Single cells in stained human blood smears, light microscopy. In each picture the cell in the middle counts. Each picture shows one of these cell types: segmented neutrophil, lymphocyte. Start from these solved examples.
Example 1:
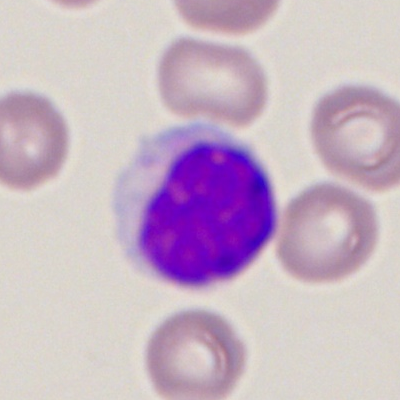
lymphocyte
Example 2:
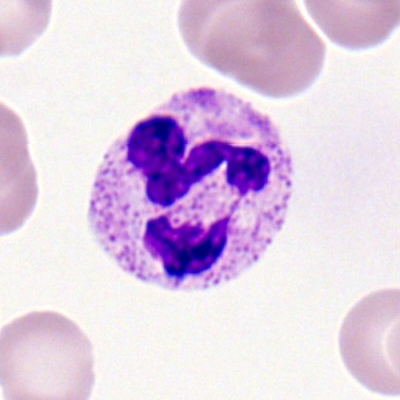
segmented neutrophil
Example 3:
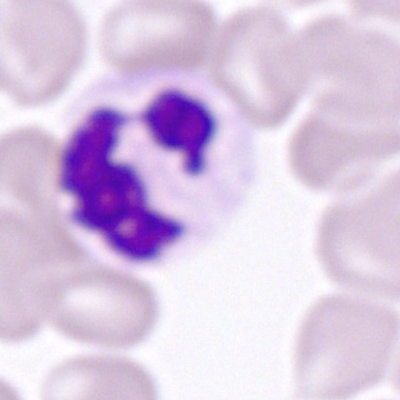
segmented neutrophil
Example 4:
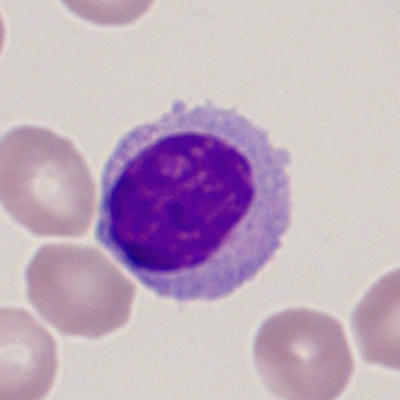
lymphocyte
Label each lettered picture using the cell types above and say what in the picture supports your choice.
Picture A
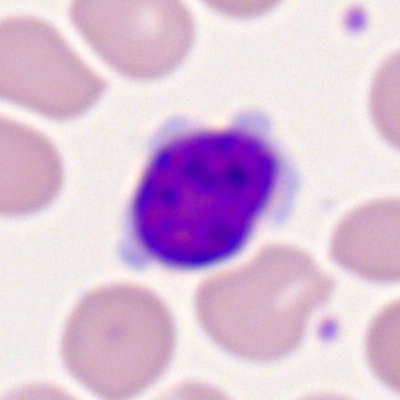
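lymphocyte. The nucleus fills almost the whole cell, leaving only a scant rim of cytoplasm.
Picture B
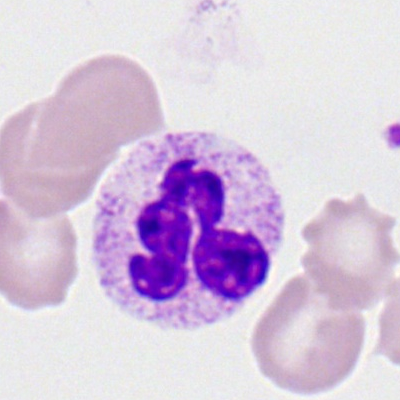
segmented neutrophil. The nucleus is divided into three lobes.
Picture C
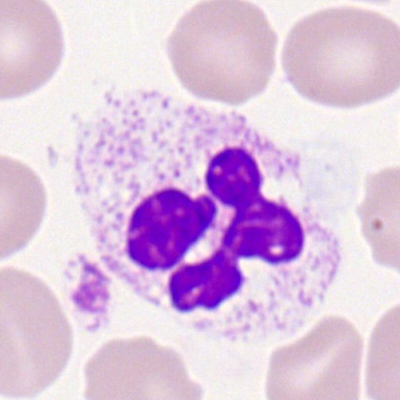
segmented neutrophil. The cytoplasm is abundant and pale pinkish-lilac.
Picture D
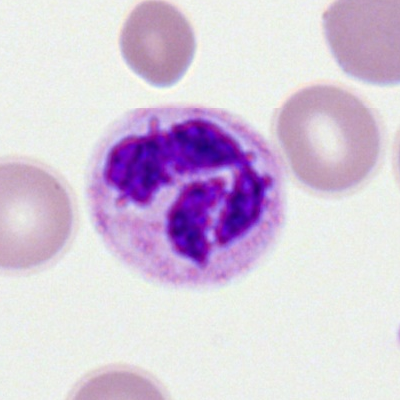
segmented neutrophil. The nucleus is divided into several distinct lobes.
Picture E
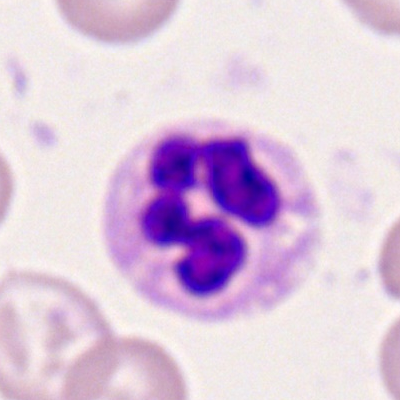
segmented neutrophil. Abundant cytoplasm surrounds the nucleus on all sides.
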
